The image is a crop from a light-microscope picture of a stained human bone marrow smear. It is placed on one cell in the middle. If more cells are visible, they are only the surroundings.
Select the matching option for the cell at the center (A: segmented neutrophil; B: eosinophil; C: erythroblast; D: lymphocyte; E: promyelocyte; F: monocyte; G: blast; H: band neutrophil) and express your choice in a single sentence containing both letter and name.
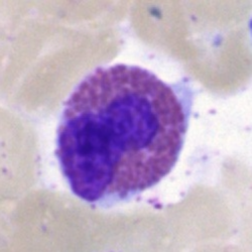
According to option B, which is correct, the cell in the middle is an eosinophil.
